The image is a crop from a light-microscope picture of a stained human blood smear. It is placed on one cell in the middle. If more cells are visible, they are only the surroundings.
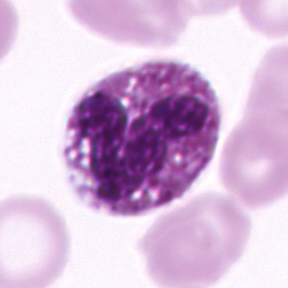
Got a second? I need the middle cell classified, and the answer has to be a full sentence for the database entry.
The middle of this crop is occupied by an eosinophil.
